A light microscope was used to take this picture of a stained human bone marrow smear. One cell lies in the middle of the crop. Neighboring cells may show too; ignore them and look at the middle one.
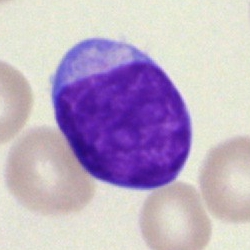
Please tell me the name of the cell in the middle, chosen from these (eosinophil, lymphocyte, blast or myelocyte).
blast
